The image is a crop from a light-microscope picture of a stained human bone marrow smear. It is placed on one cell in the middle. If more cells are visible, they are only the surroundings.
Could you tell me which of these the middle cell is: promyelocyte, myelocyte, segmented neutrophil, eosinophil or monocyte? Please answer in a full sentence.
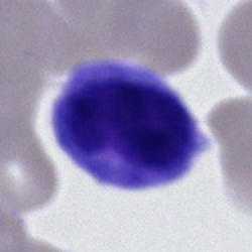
This particular crop is centered on a monocyte.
